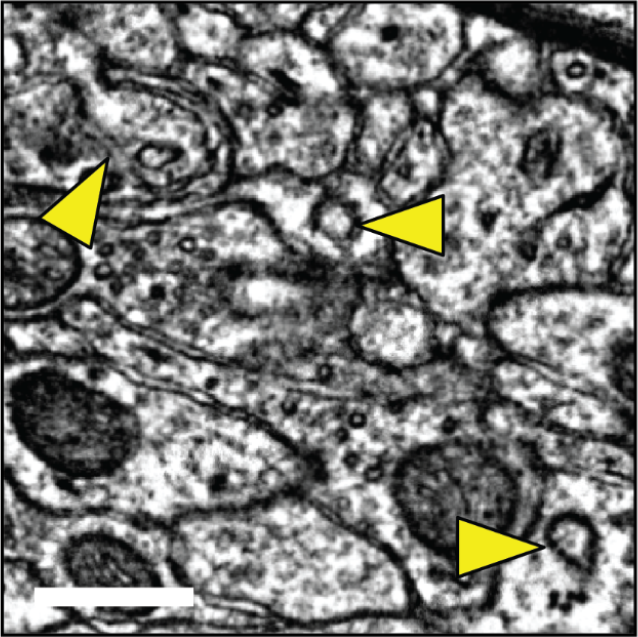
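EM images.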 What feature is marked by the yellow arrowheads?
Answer: invaginating structures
